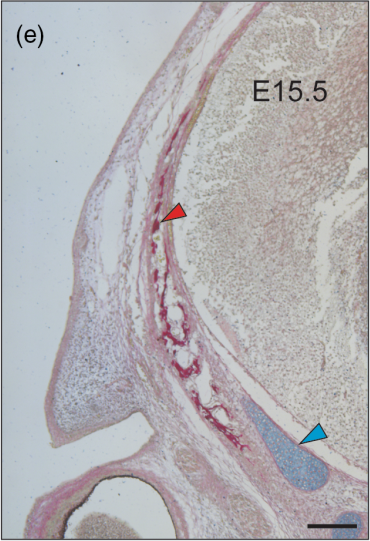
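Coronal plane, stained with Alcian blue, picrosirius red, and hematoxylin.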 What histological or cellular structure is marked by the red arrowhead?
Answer: bone matrix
